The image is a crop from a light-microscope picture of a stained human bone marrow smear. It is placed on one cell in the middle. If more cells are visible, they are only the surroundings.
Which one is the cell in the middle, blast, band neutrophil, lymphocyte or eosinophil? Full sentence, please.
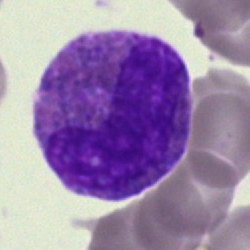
The crop centres on a single cell, and that cell is an eosinophil.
